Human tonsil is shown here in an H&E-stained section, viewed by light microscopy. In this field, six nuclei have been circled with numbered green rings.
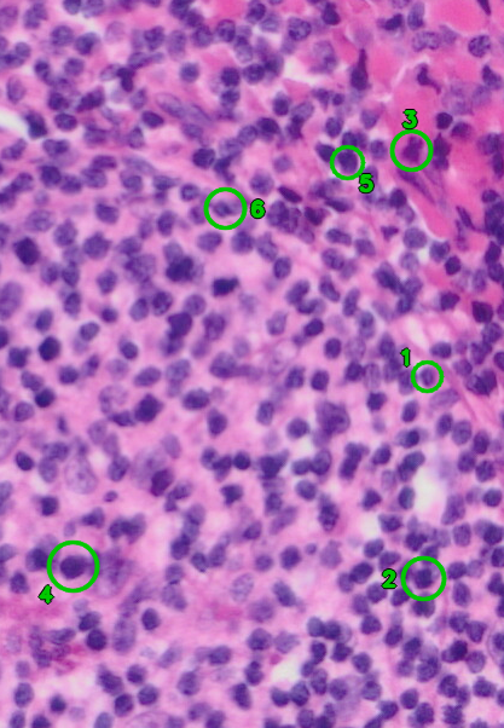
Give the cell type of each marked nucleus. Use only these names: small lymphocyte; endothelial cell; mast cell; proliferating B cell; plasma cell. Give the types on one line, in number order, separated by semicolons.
small lymphocyte; small lymphocyte; endothelial cell; proliferating B cell; small lymphocyte; small lymphocyte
